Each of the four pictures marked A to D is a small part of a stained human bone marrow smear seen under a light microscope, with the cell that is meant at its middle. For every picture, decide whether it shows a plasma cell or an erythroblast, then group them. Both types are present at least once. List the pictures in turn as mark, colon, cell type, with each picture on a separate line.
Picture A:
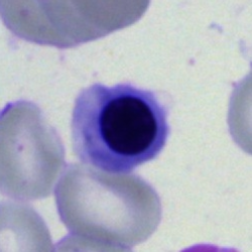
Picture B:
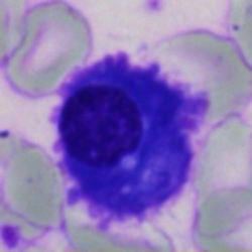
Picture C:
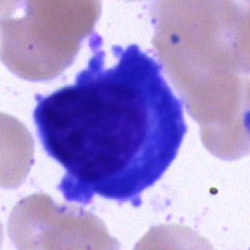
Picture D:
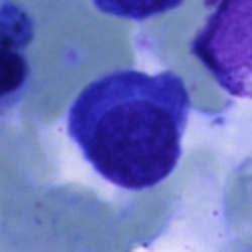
A: erythroblast
B: plasma cell
C: plasma cell
D: plasma cell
